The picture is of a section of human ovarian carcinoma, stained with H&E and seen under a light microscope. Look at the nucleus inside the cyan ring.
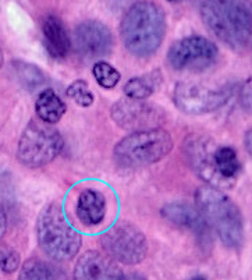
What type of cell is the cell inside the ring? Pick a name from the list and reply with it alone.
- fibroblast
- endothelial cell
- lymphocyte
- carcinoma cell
lymphocyte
